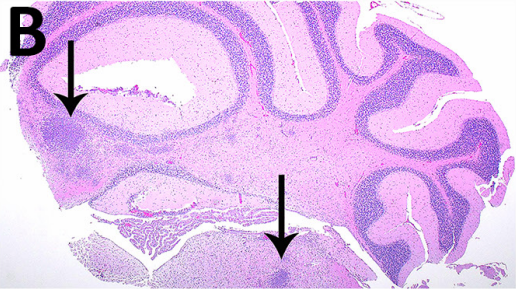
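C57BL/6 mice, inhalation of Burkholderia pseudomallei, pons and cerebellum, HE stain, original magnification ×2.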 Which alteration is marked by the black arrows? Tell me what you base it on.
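Multifocal necrotizing meningoencephalitis. Two separate ill-defined purple hypercellular foci in the brain tissue. The foci disrupt the surrounding pale parenchyma.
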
